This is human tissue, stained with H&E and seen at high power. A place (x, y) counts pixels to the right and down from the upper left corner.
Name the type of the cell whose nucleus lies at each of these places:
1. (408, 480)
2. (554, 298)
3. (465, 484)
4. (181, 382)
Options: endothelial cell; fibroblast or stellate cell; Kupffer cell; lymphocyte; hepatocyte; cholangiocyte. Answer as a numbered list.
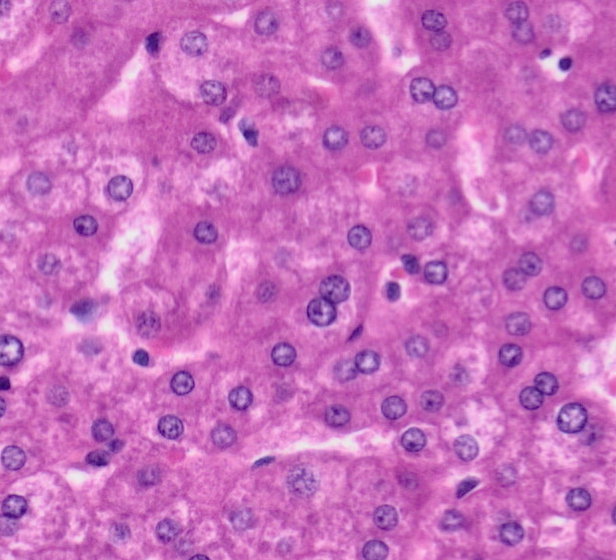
1. hepatocyte
2. hepatocyte
3. endothelial cell
4. hepatocyte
